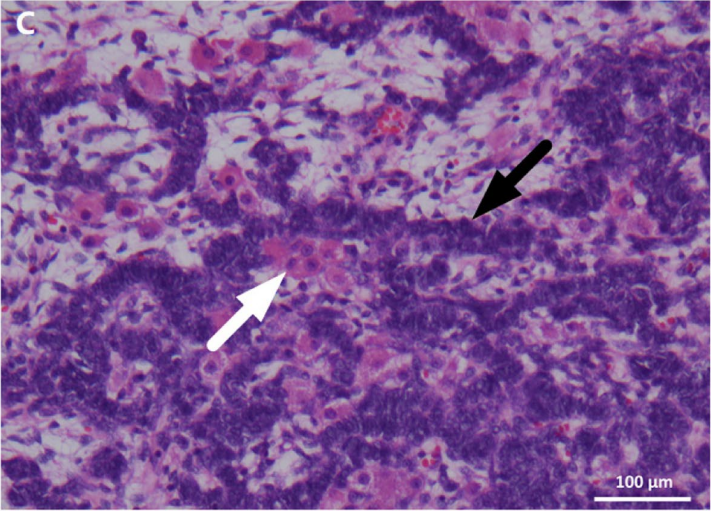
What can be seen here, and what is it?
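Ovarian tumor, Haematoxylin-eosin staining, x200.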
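The Sertoli cells have small, crowded dark purple nuclei and form long, branching and interconnecting cords and bands running through a loose, pale stroma. Between the cords lie scattered large polygonal Leydig cells, singly or in small groups, with plentiful pink cytoplasm and round nuclei.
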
